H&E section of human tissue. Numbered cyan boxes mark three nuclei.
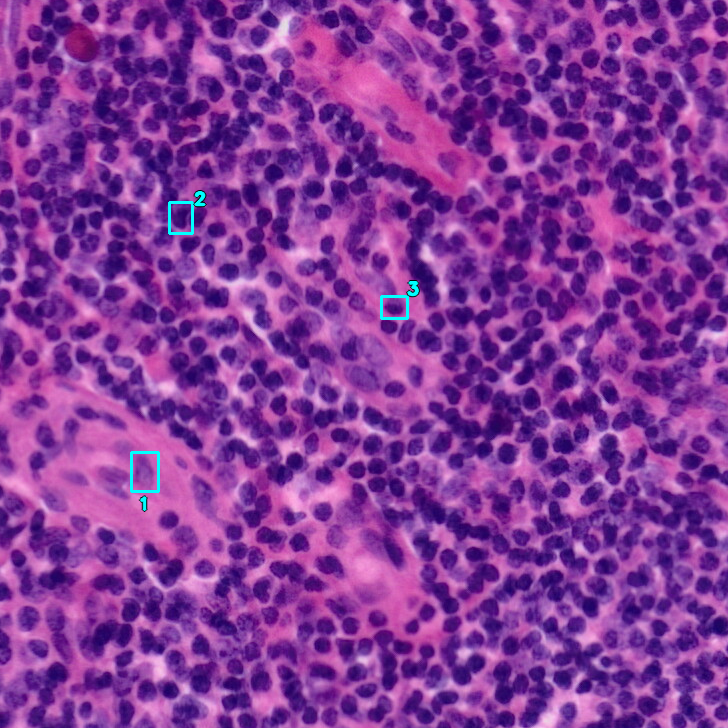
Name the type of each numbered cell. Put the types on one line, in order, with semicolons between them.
endothelial cell; small lymphocyte; endothelial cell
